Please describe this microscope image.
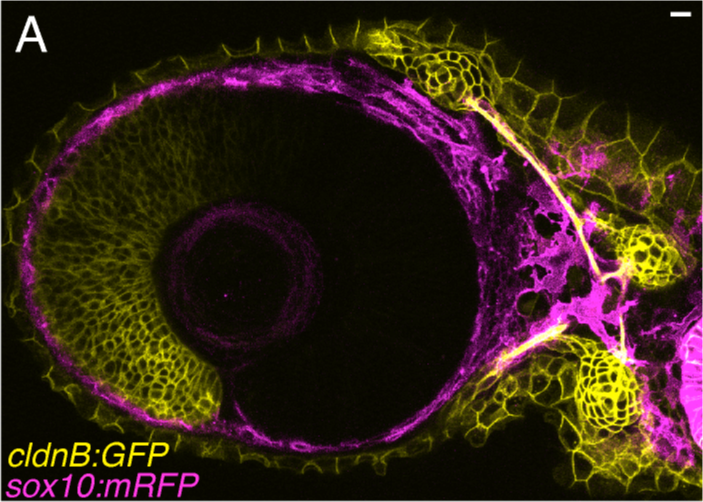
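This lateral view of the embryonic head shows the eye with its retina of closely packed columnar cells outlined in yellow and a round lens at its centre ringed in magenta. Behind and above the eye lie compact rosettes of tightly packed yellow cells, the neuromasts, joined by thin yellow lines. A single layer of flat yellow-outlined skin cells borders the head surface.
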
